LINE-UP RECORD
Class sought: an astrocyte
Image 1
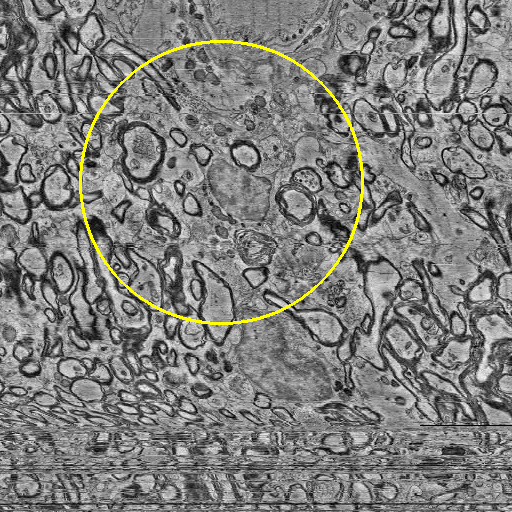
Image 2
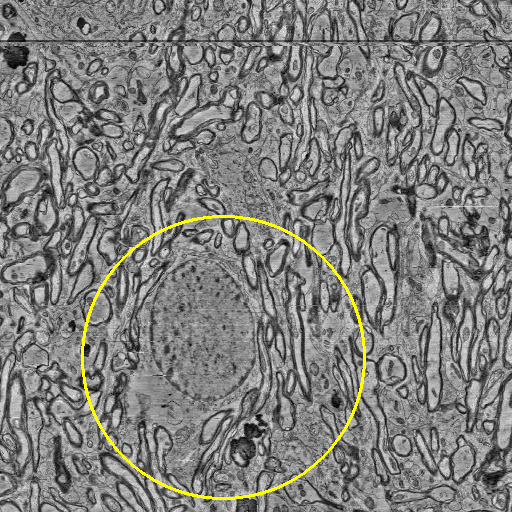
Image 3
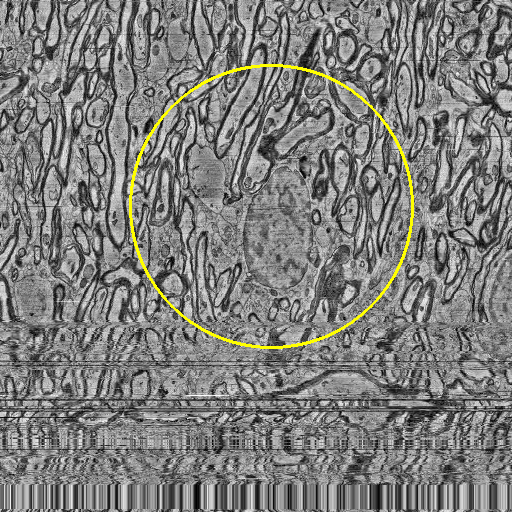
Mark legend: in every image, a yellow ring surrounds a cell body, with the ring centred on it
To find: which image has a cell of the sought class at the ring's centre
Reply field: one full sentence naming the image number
The ring-centred cell of image 2 belongs to the class sought.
